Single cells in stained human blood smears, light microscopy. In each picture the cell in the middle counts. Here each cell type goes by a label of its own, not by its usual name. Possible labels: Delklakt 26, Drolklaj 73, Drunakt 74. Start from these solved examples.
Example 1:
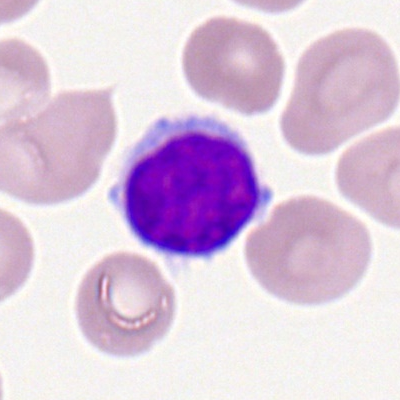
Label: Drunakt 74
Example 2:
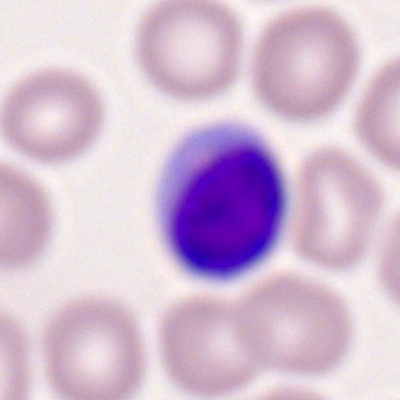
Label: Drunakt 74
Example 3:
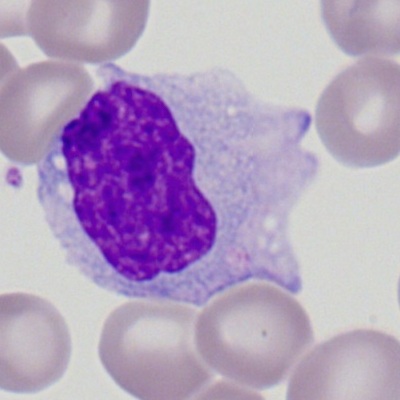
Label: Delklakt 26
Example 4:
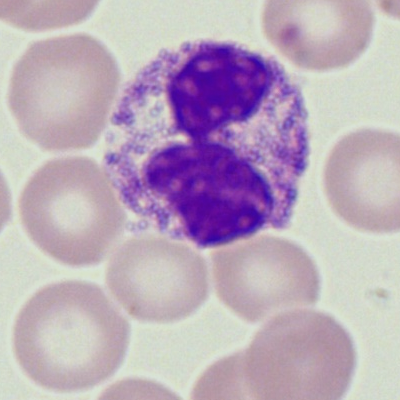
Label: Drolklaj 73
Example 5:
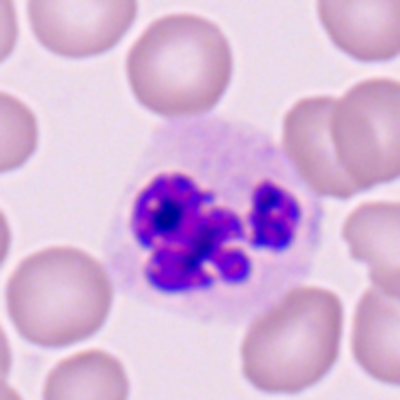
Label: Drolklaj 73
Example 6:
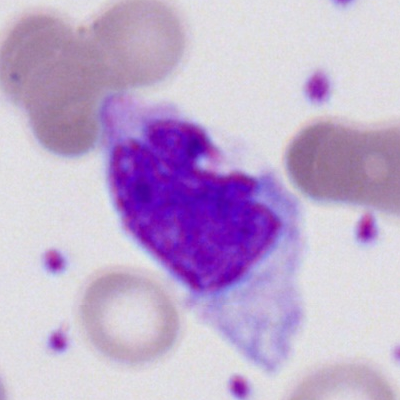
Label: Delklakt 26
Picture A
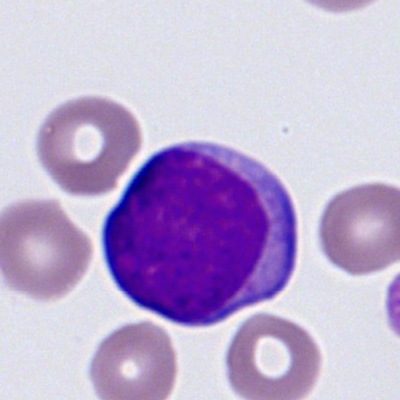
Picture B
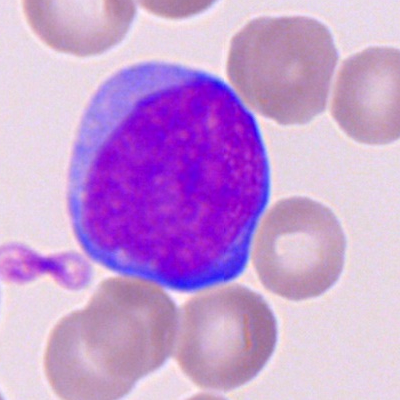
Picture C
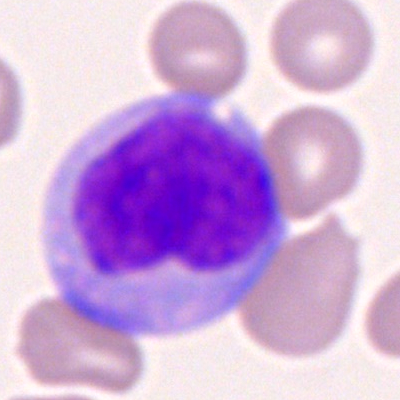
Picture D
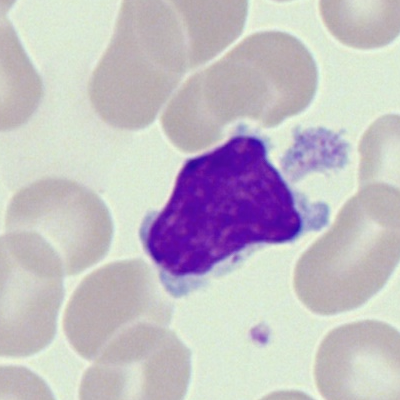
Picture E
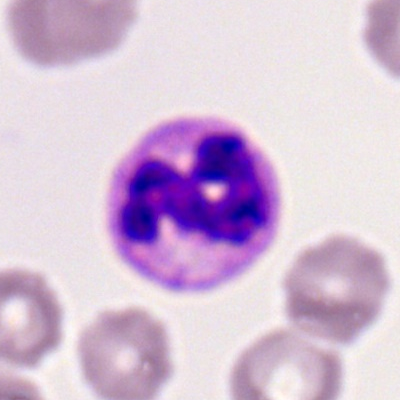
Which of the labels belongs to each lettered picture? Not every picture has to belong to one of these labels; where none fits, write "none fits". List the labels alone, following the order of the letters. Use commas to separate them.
none fits, none fits, Delklakt 26, Drunakt 74, Drolklaj 73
